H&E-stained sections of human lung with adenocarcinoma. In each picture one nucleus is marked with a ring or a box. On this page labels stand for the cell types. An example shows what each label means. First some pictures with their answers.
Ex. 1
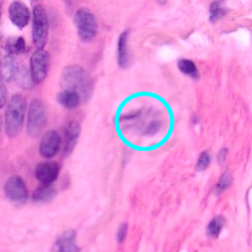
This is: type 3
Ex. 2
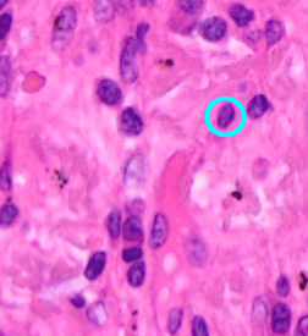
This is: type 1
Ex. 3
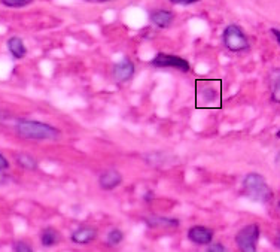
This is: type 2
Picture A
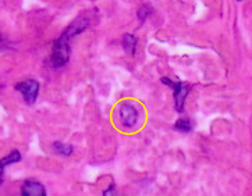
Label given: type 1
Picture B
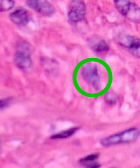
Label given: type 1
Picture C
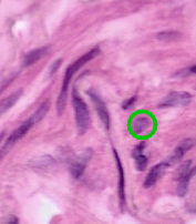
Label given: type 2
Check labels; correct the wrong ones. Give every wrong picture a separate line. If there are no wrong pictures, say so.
B is labelled type 1; correct label: type 2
